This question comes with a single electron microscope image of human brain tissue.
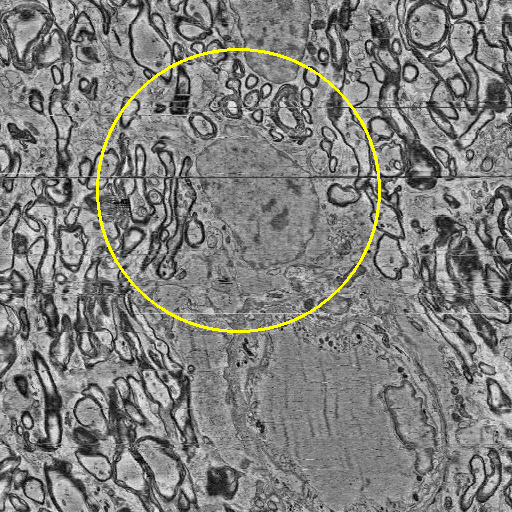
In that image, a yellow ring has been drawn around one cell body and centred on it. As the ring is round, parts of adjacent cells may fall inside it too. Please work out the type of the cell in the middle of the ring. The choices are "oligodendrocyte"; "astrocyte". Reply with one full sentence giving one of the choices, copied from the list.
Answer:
Of the choices, an astrocyte is the cell sitting in the middle of the ring.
